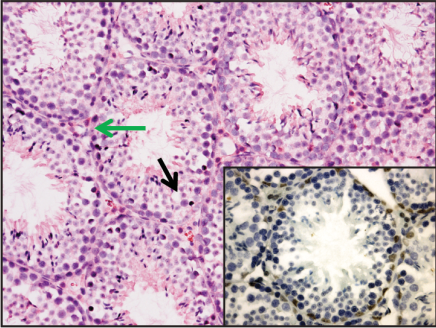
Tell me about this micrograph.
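At one tubule periphery the basal cells lie in a less orderly arrangement. Clear, empty spaces appear within the epithelium between germ cells. Interstitial tissue between tubules is narrow. The inset shows a tubule with mostly blue-counterstained nuclei and only a few brown nuclei along its basal edge.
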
